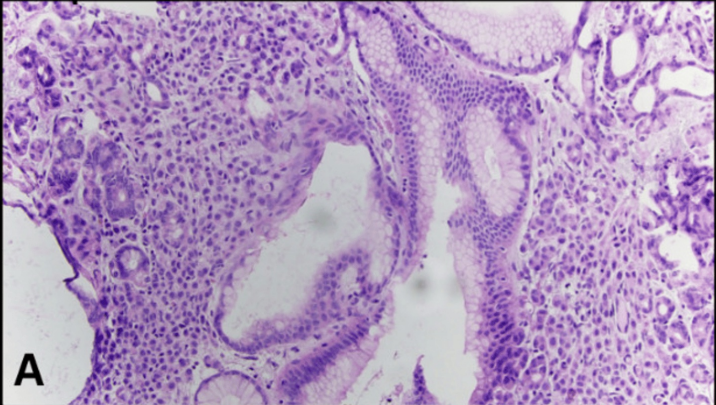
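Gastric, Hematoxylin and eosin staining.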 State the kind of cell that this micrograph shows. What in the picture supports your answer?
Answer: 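Dyscohesive tumor cells. Sheets of small round cells fill the stroma between the glands. These cells lie loosely, singly, without forming glands or tight clusters. They differ from the tall columnar cells lining the glands.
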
